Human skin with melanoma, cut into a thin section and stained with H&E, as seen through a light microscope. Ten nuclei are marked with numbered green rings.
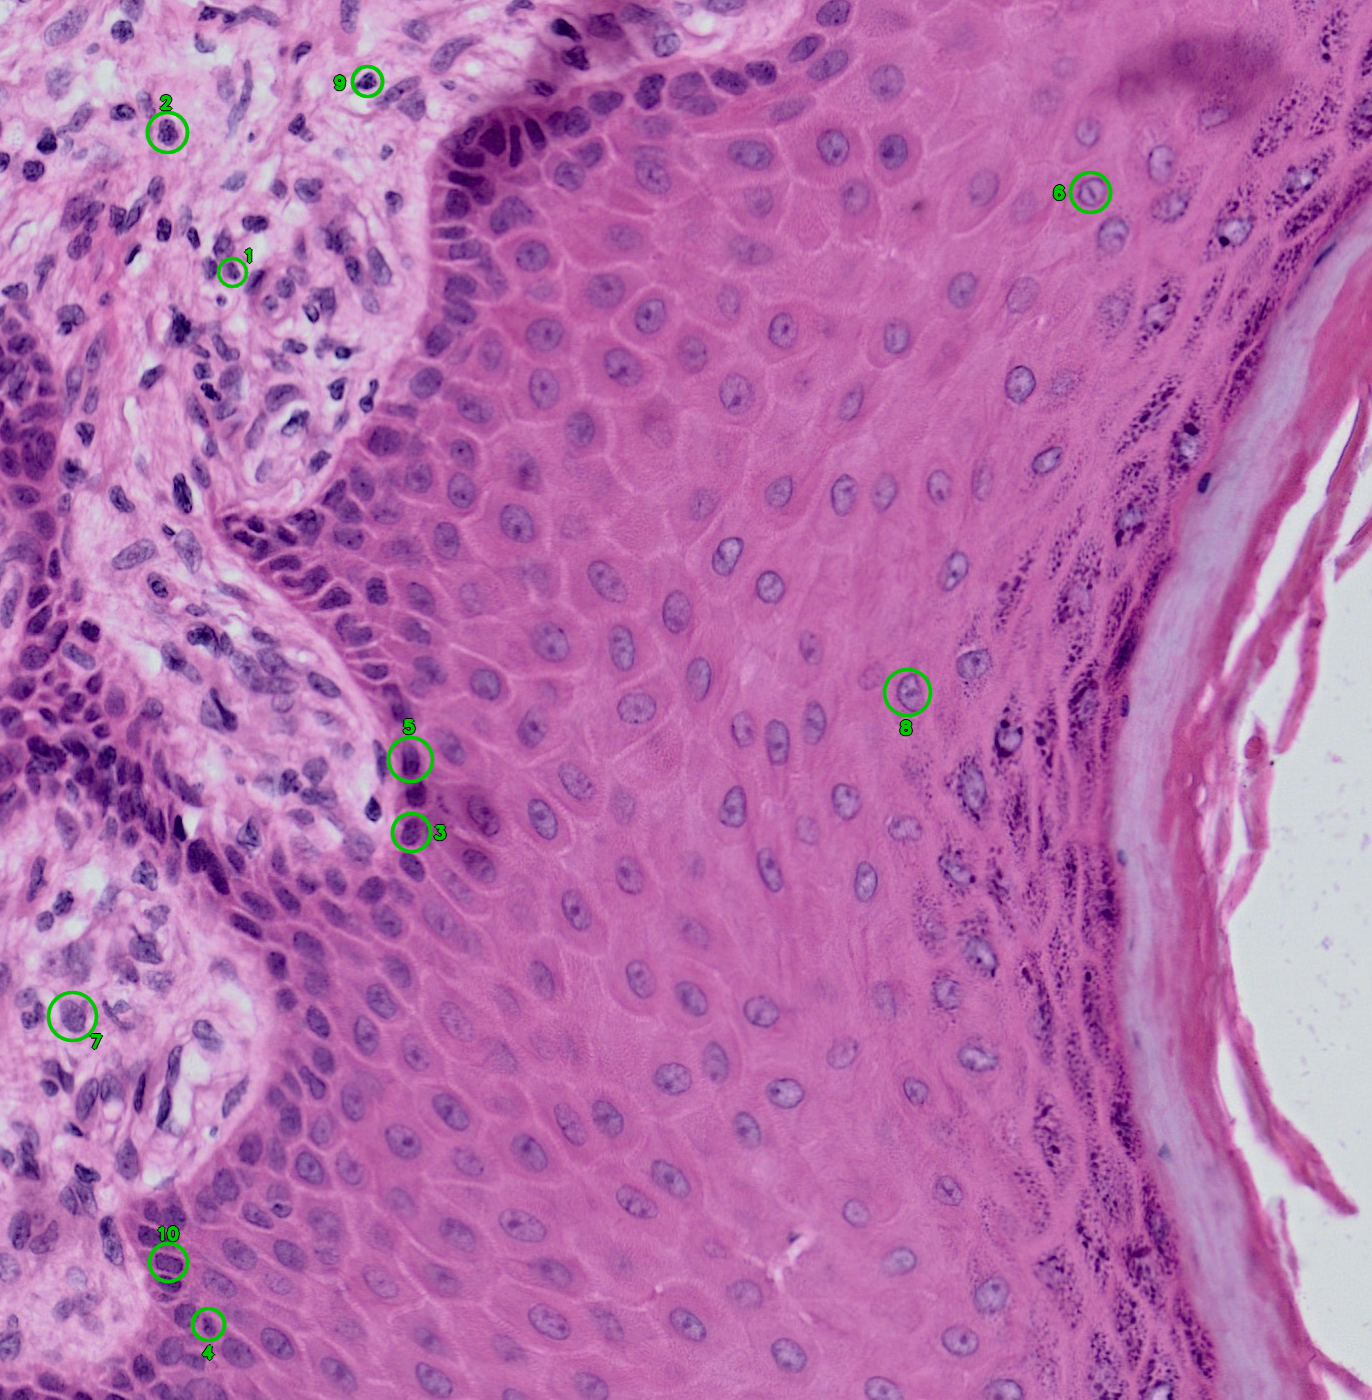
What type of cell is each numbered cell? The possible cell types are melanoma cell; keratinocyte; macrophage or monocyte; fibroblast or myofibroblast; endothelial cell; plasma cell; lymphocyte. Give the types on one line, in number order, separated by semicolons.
lymphocyte; lymphocyte; keratinocyte; keratinocyte; keratinocyte; keratinocyte; fibroblast or myofibroblast; keratinocyte; lymphocyte; keratinocyte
